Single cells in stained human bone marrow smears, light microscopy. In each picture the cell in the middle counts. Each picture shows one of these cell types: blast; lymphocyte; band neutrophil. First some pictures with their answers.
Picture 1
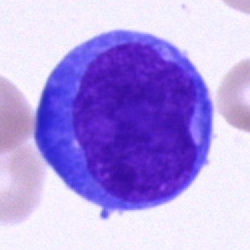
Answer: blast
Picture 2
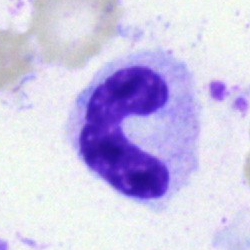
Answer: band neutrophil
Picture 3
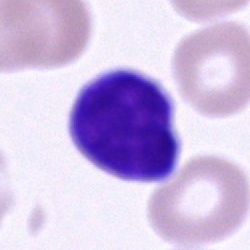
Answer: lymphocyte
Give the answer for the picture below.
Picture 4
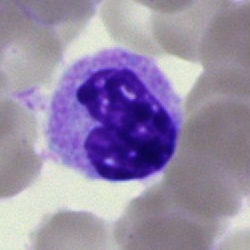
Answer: band neutrophil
